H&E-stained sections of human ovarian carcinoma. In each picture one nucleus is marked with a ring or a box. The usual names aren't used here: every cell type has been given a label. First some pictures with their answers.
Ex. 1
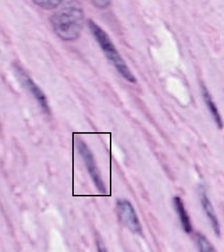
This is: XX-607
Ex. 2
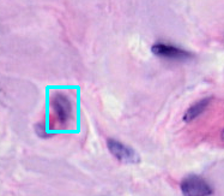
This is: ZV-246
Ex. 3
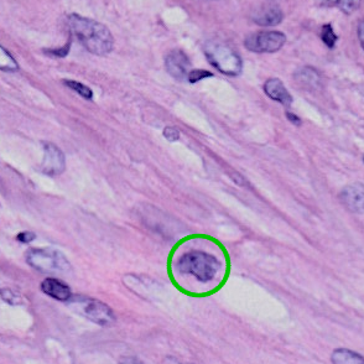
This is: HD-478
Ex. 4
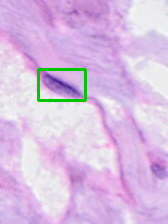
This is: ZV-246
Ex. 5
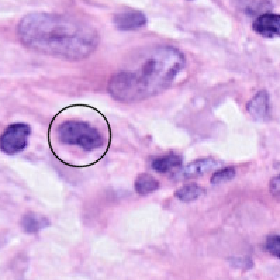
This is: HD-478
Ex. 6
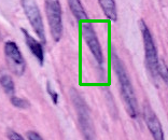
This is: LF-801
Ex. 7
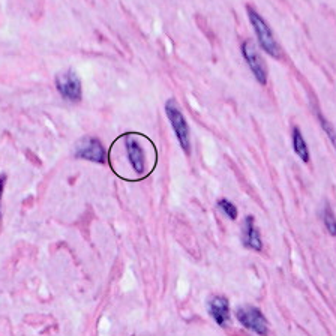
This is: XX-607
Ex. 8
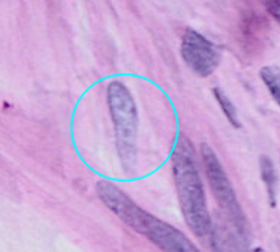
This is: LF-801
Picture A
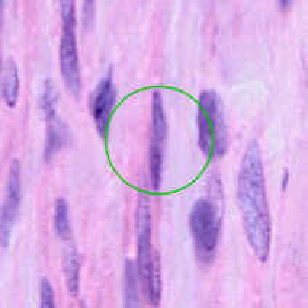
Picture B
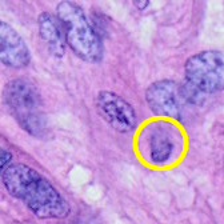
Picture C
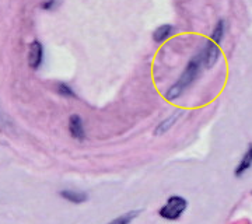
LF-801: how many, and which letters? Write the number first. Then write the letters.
Count: 2 (A, C)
